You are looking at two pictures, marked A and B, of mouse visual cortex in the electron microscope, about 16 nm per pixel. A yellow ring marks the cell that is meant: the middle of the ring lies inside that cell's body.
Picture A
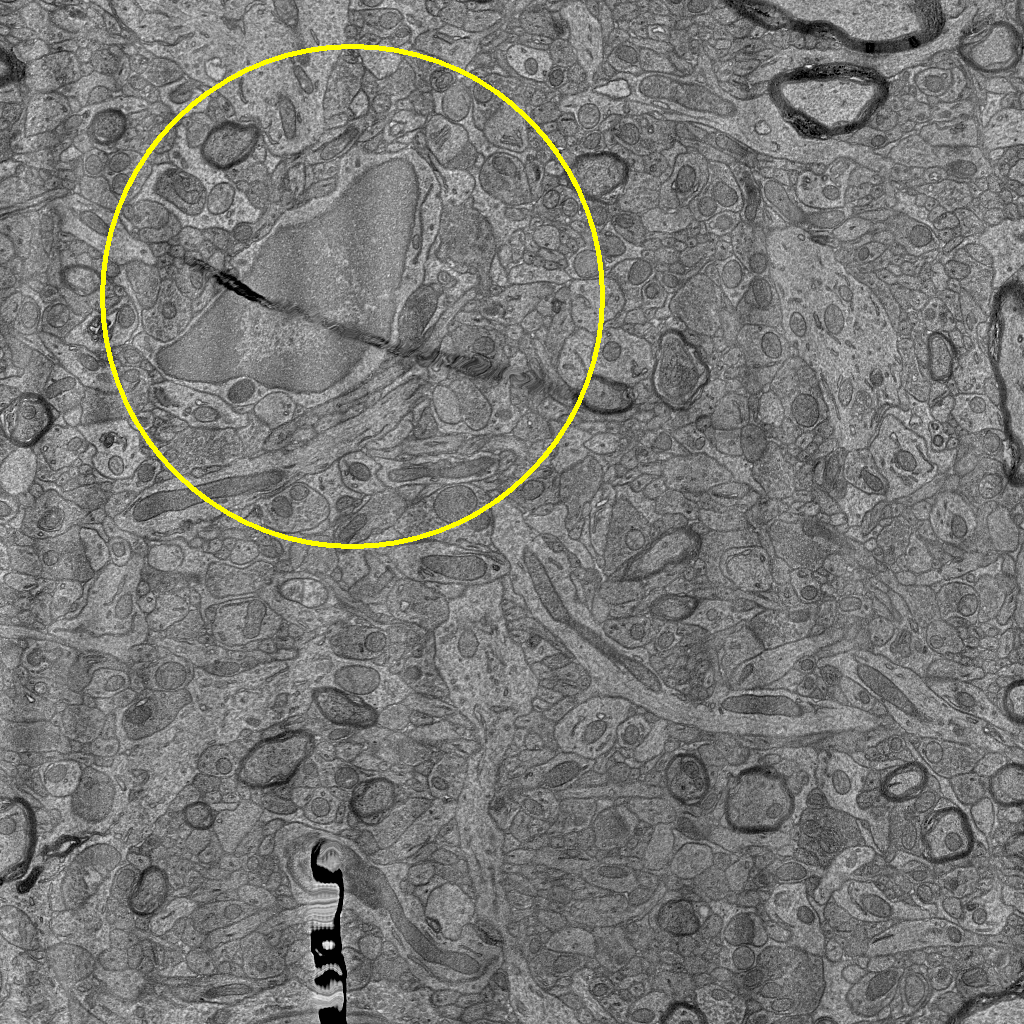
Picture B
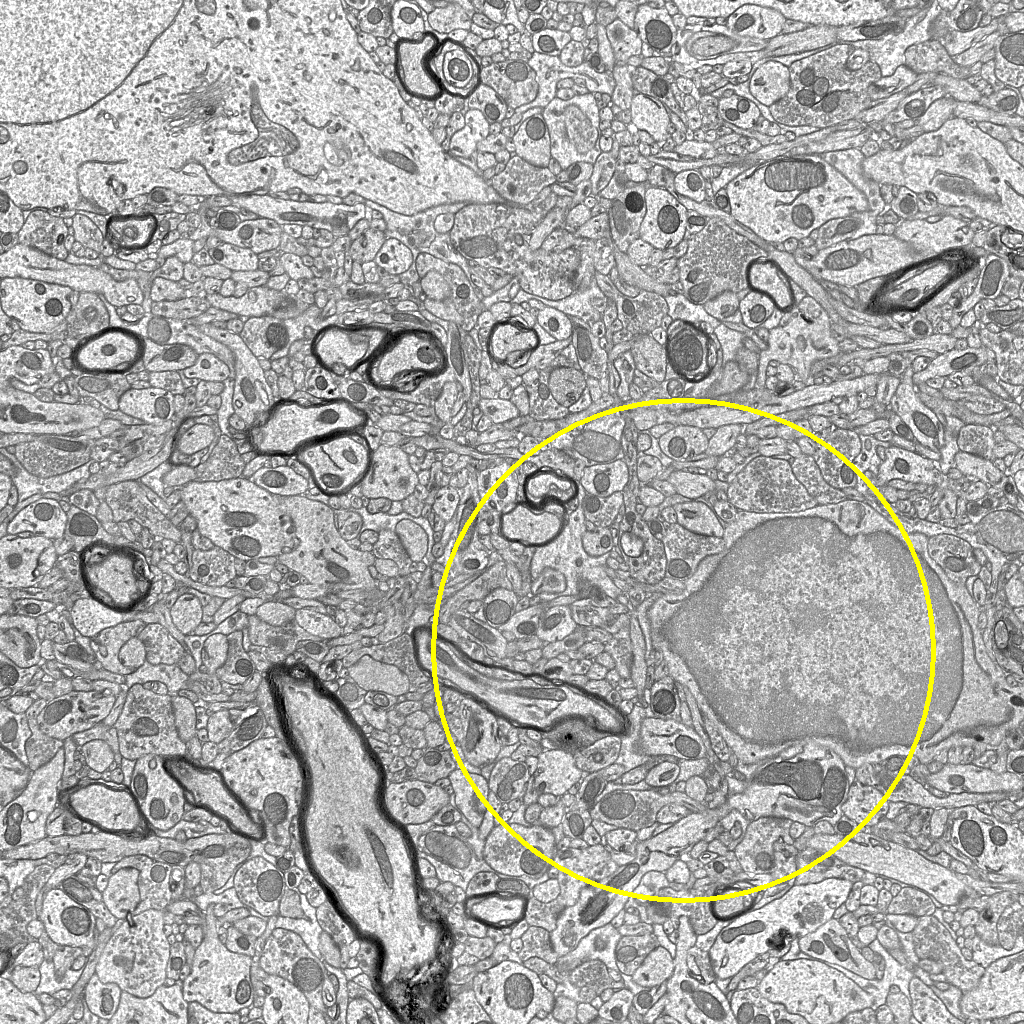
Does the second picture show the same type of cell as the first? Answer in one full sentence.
Yes; the cells in both pictures are microglial cells.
